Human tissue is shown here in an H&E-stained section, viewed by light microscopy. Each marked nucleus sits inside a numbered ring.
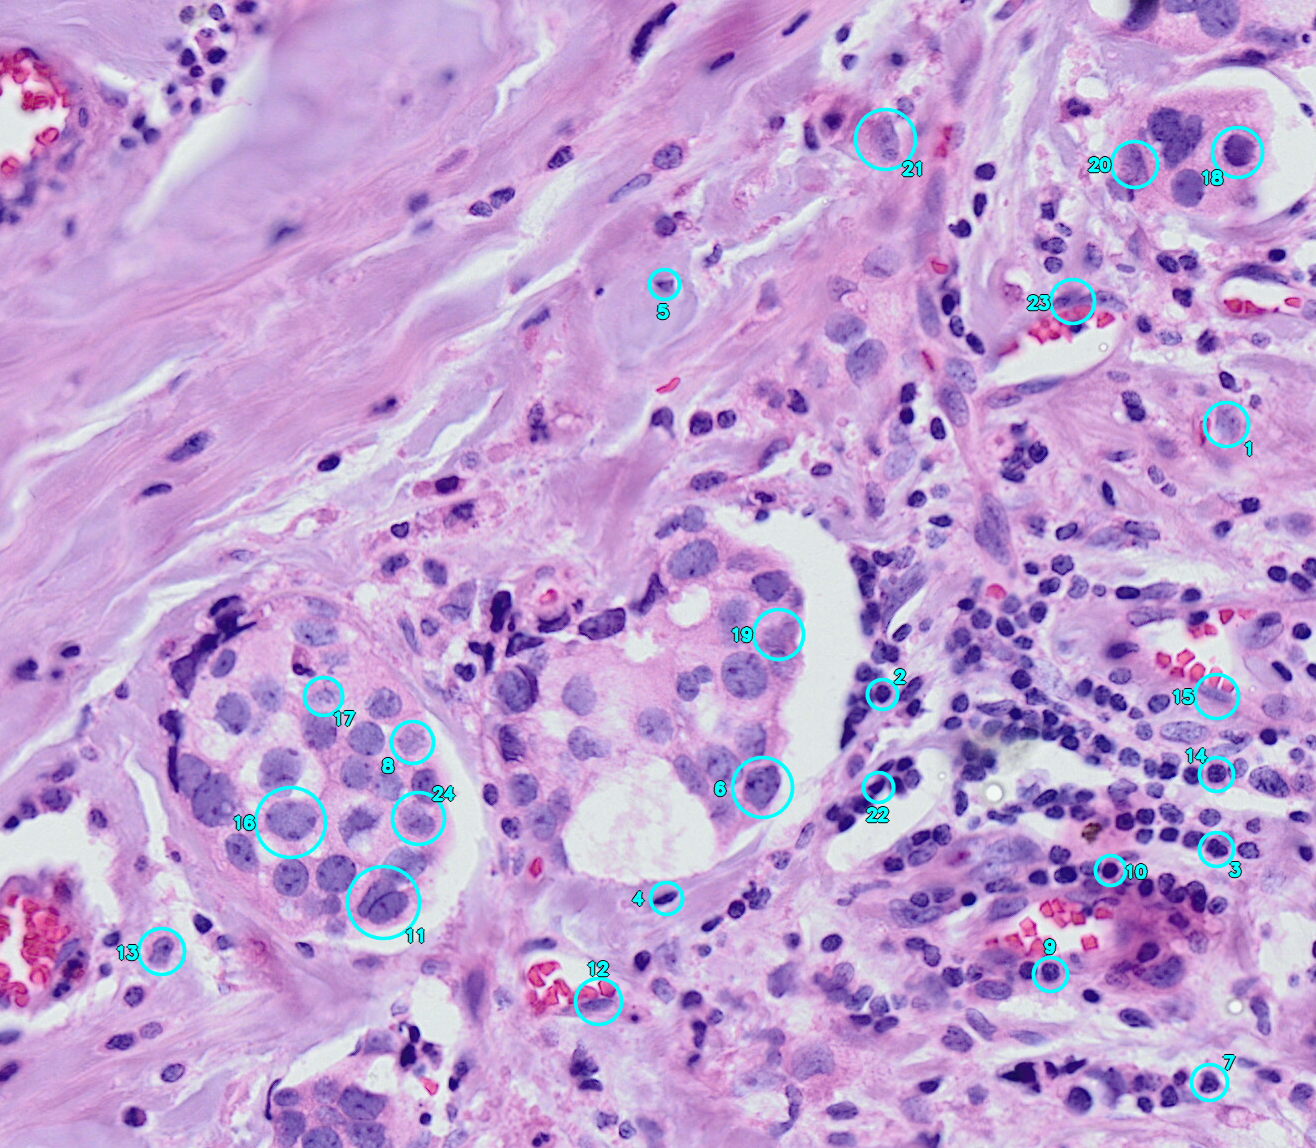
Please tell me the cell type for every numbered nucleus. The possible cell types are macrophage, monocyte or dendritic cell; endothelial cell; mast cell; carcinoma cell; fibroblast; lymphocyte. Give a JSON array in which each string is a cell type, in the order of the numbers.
["endothelial cell", "lymphocyte", "lymphocyte", "lymphocyte", "fibroblast", "carcinoma cell", "lymphocyte", "carcinoma cell", "lymphocyte", "lymphocyte", "carcinoma cell", "endothelial cell", "mast cell", "lymphocyte", "endothelial cell", "carcinoma cell", "carcinoma cell", "carcinoma cell", "carcinoma cell", "carcinoma cell", "fibroblast", "lymphocyte", "endothelial cell", "carcinoma cell"]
